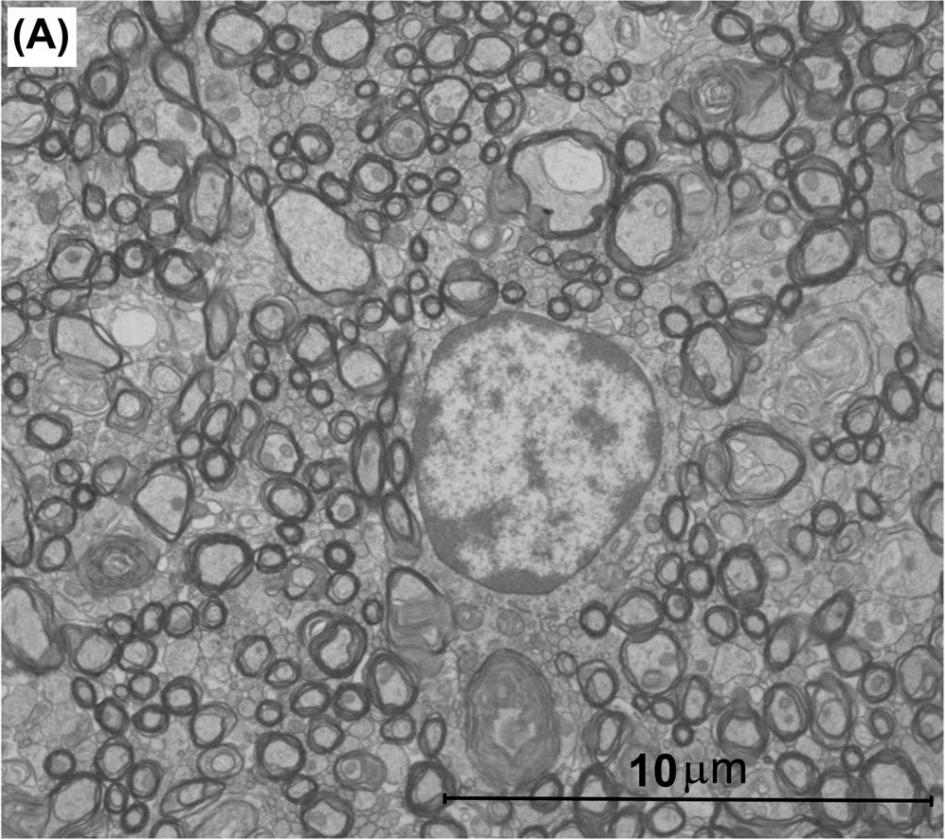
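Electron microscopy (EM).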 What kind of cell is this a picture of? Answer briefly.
Oligodendrocyte glial cell.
